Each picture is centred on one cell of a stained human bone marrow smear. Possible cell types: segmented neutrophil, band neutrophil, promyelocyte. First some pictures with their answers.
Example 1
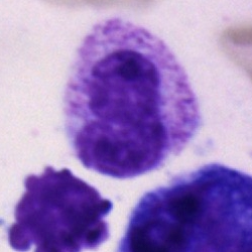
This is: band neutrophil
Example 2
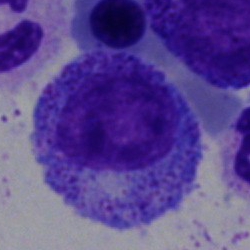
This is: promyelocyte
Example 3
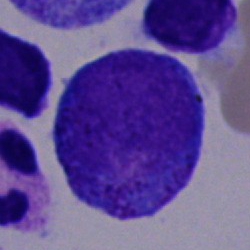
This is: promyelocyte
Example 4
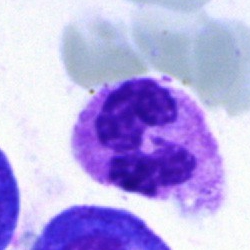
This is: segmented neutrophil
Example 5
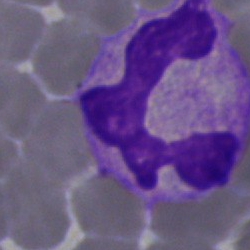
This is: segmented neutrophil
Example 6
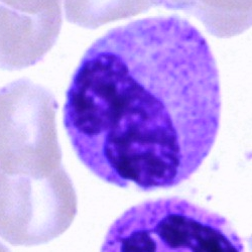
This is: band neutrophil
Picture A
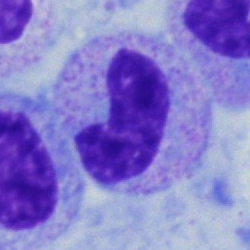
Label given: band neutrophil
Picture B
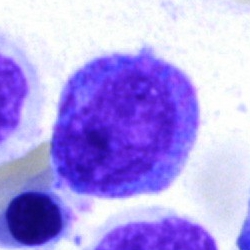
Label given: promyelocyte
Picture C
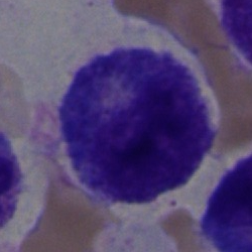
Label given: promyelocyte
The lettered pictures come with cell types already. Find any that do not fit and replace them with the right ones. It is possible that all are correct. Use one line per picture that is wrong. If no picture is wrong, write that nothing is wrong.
All correct.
